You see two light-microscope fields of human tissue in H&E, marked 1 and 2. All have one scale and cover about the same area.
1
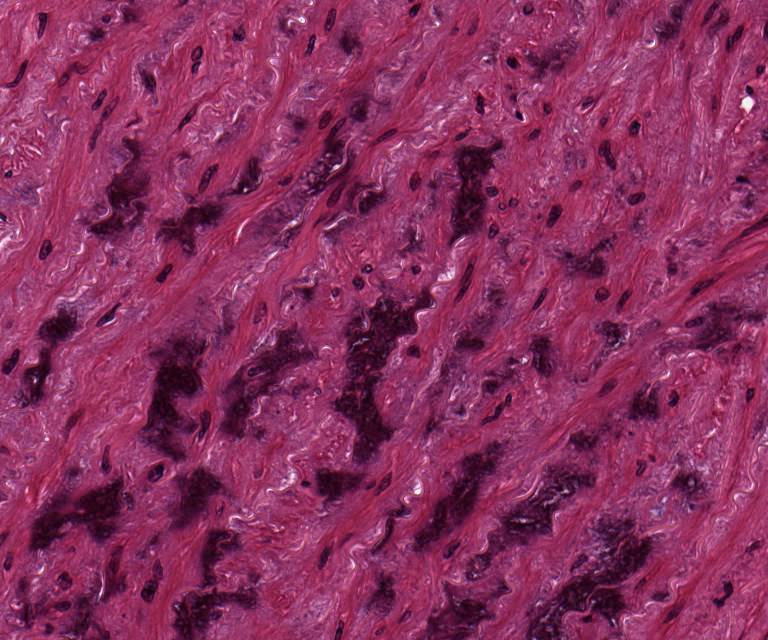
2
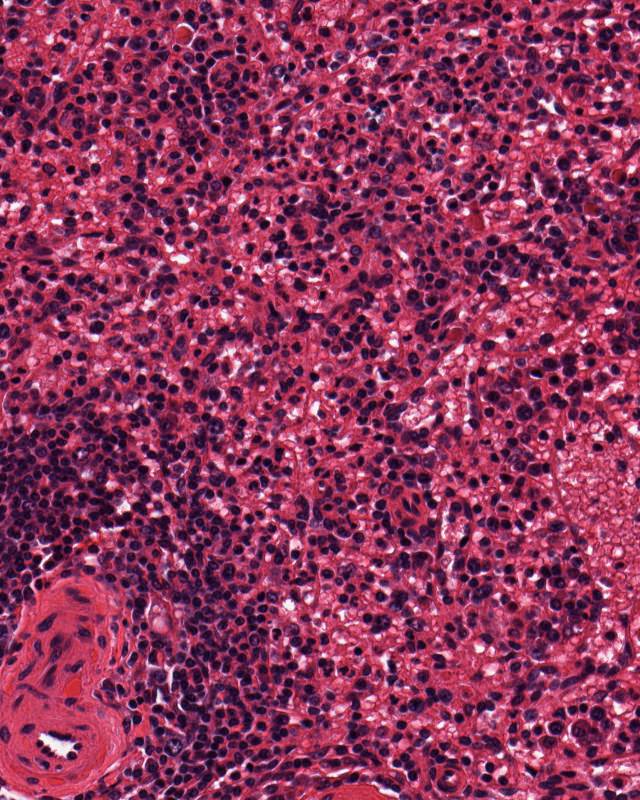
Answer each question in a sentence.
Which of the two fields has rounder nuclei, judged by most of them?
It is picture 2 whose nuclei are the rounder.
